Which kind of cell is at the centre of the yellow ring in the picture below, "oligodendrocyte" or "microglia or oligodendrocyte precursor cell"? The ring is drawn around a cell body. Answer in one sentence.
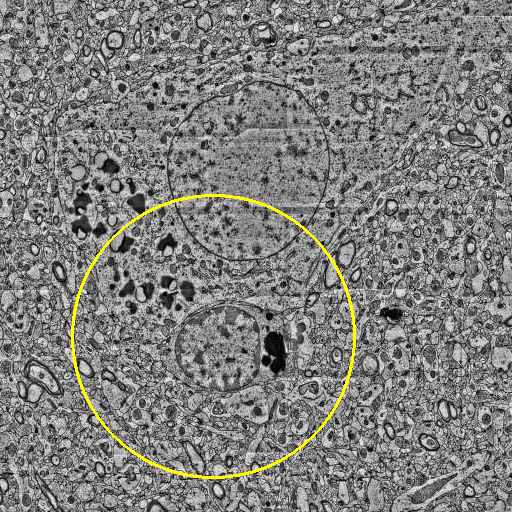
The ring's central cell is an oligodendrocyte.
